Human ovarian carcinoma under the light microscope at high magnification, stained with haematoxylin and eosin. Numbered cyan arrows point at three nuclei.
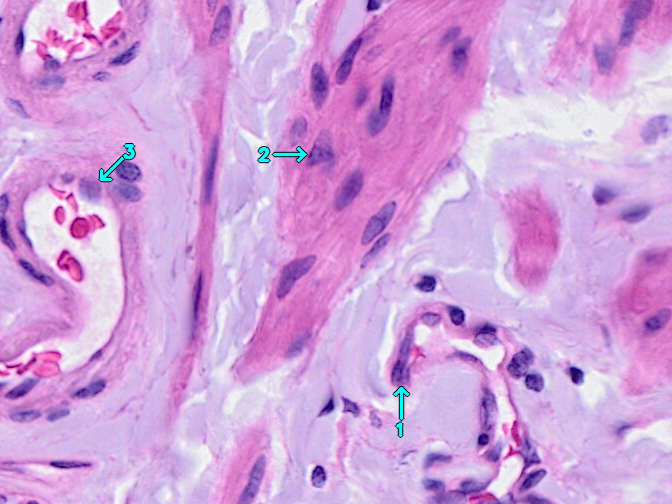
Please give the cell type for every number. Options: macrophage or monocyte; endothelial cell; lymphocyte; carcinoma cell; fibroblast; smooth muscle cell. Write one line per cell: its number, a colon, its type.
1: endothelial cell
2: smooth muscle cell
3: endothelial cell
